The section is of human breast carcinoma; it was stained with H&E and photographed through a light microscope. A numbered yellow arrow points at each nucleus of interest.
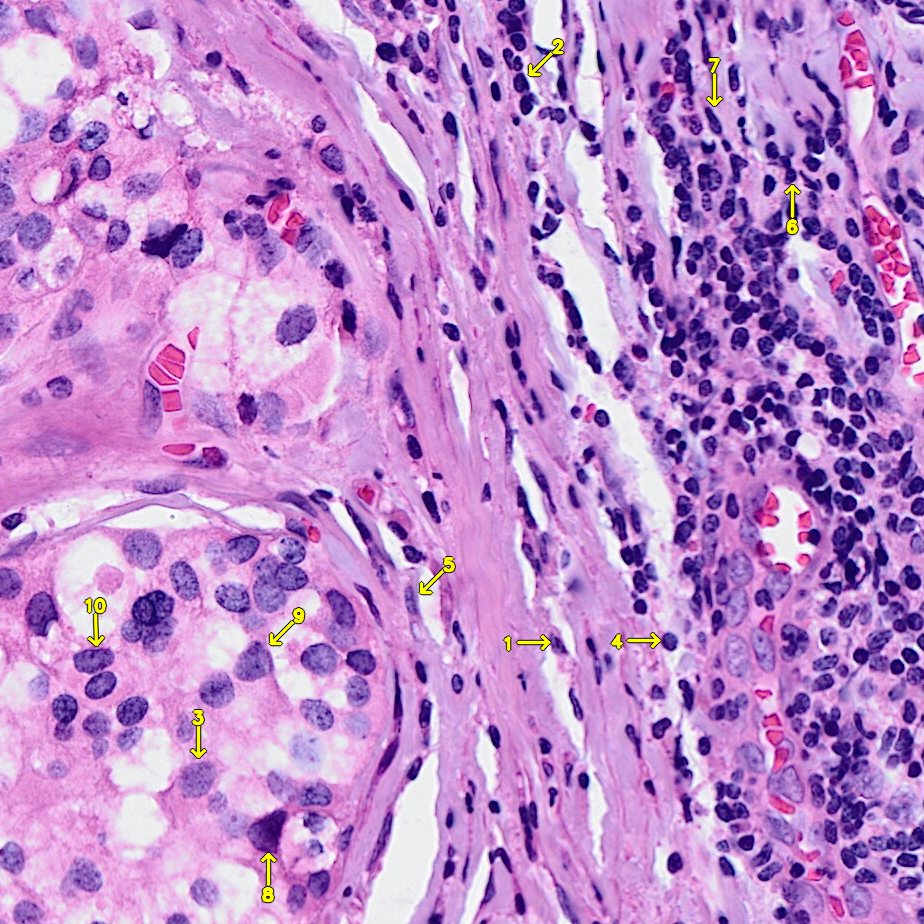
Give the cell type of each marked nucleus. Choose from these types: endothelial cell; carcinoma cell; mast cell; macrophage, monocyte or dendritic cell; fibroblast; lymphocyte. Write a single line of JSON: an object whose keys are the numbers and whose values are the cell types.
{"1": "fibroblast", "2": "lymphocyte", "3": "carcinoma cell", "4": "lymphocyte", "5": "fibroblast", "6": "lymphocyte", "7": "lymphocyte", "8": "carcinoma cell", "9": "carcinoma cell", "10": "carcinoma cell"}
